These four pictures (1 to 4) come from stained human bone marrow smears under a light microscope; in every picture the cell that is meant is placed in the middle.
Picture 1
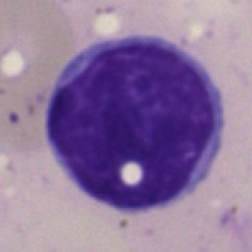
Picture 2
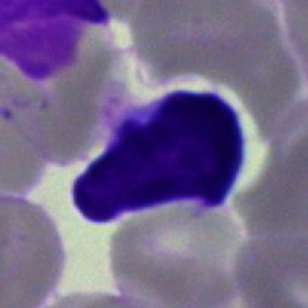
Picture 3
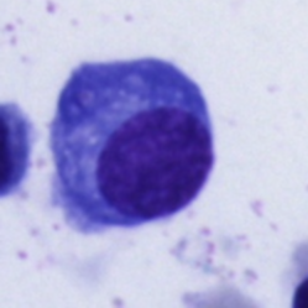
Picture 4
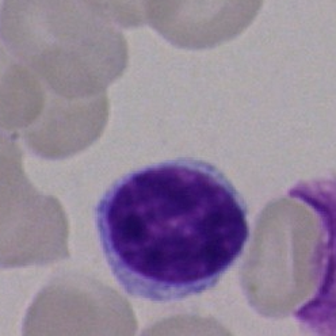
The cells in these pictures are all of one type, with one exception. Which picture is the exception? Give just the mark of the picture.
3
